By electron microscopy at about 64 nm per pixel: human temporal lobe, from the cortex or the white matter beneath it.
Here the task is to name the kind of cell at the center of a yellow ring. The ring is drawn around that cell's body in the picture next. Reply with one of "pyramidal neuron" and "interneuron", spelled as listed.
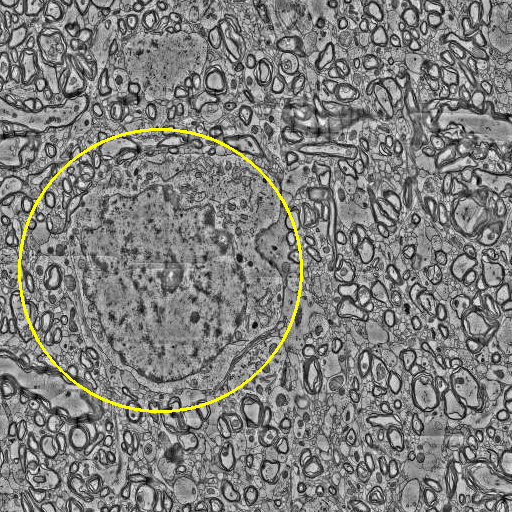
interneuron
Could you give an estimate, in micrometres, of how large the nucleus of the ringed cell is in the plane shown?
The nucleus has a long axis of about 12 micrometres and a short axis of about 10 micrometres in this plane.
